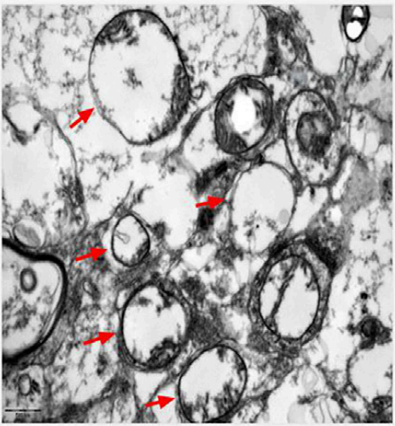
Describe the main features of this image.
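This electron micrograph shows cytoplasm crowded with badly swollen mitochondria. Many of them are large and round, far bigger than normal ones. Their interiors are pale and largely empty, with only wisps of material left, so they look like vacuoles. The inner membrane folds are mostly gone, and only the thin outer outline remains clearly drawn. A few mitochondria still keep some dark matrix, but they too are rounded and enlarged.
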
